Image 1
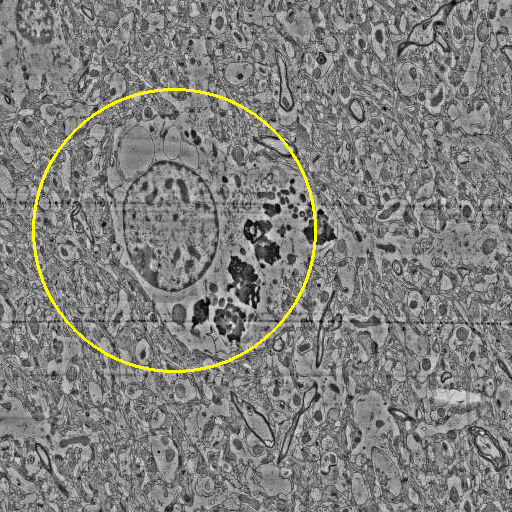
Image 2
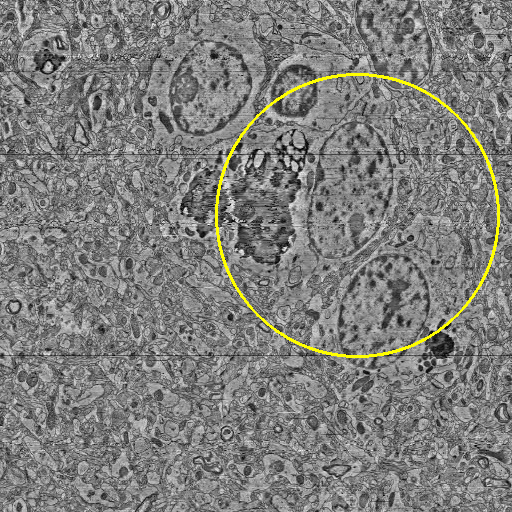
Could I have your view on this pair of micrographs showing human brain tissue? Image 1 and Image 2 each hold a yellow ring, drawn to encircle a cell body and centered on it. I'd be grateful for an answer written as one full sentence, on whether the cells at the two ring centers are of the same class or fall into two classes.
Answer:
The cells at the centers of the two rings are of the same class.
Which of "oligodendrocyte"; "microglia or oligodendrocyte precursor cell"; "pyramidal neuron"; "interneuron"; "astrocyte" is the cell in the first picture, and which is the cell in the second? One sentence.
Each of the two pictures has an astrocyte at the ring centre.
